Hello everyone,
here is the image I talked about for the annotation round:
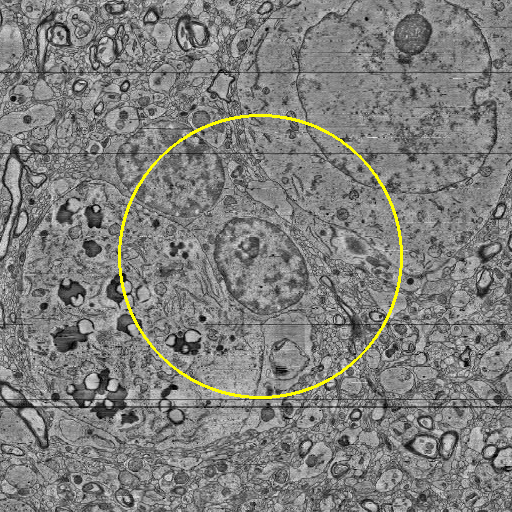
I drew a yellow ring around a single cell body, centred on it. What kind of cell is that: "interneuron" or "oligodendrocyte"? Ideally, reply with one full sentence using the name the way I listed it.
The cell your yellow ring is centred on is an oligodendrocyte, going by your list.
